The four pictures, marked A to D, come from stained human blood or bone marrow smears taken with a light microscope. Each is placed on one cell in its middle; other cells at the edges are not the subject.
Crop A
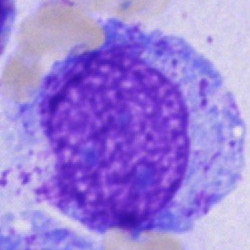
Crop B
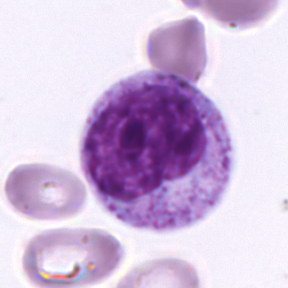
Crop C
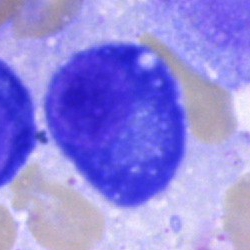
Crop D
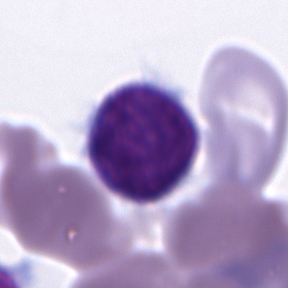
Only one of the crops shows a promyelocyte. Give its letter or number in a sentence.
In the set of crops, crop A is the one that contains a promyelocyte.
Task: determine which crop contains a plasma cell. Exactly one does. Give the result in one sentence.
Look at crop C; that is the one with a plasma cell in its center.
